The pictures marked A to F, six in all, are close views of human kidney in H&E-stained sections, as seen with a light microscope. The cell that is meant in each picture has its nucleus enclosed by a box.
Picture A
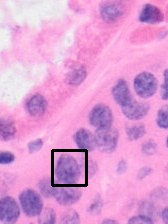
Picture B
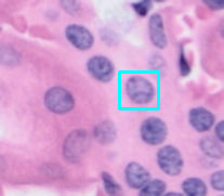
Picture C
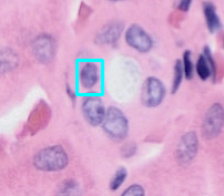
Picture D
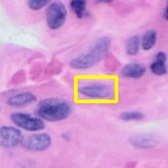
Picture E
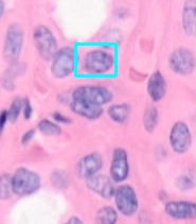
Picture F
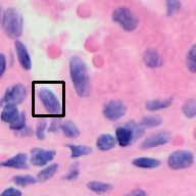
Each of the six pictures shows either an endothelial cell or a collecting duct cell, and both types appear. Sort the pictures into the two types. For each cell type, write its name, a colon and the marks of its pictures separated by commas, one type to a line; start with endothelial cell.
endothelial cell: D, F
collecting duct cell: A, B, C, E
